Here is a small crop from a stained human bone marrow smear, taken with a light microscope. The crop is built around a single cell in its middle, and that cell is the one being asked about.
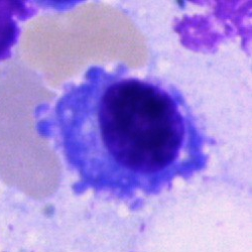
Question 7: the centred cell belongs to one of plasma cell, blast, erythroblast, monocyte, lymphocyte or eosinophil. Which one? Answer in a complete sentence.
The crop's centre is taken up by a plasma cell.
